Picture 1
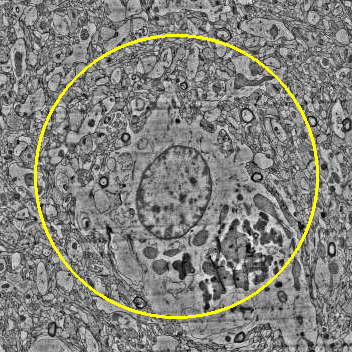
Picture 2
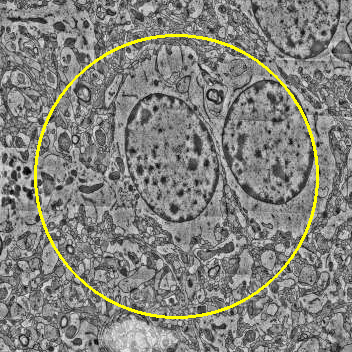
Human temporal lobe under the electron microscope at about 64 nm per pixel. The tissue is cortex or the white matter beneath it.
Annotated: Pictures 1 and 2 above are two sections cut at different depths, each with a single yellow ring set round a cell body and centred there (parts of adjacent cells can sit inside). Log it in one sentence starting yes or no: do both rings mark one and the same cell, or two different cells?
No, the yellow rings mark two cells that are not the same.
